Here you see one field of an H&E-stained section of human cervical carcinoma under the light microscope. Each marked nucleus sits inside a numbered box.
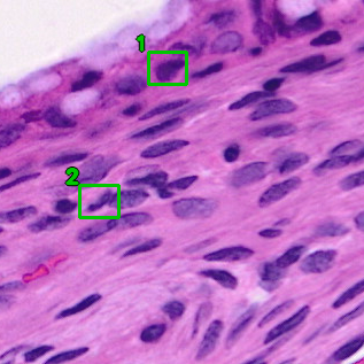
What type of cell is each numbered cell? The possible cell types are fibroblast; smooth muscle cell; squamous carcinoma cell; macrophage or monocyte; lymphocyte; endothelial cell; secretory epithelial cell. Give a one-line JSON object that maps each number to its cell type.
{"1": "secretory epithelial cell", "2": "fibroblast"}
